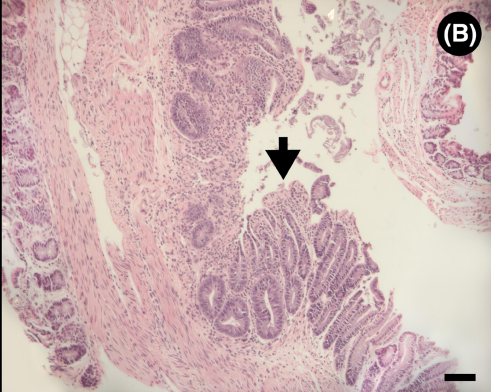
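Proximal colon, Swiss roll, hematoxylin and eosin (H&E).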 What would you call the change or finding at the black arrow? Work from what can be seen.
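The arrow points at the mucosal surface where the lining is ragged and disrupted.
Hence: Epithelial injury.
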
